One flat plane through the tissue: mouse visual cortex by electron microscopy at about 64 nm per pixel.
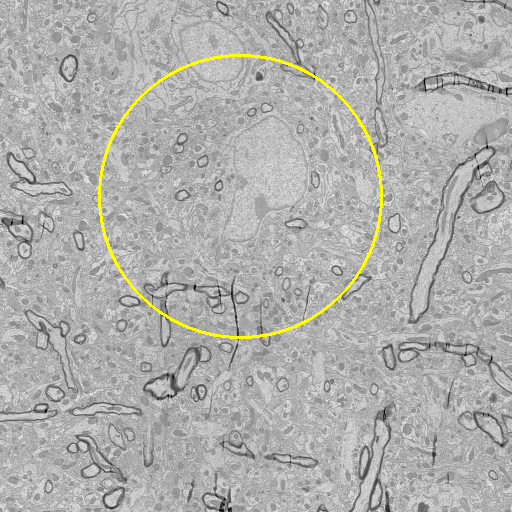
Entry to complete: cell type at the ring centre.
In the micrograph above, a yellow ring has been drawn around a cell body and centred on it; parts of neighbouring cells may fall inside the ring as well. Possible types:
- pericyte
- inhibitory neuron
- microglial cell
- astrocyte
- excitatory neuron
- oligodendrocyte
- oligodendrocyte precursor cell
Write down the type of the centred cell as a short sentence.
The ring is centred on an oligodendrocyte precursor cell.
